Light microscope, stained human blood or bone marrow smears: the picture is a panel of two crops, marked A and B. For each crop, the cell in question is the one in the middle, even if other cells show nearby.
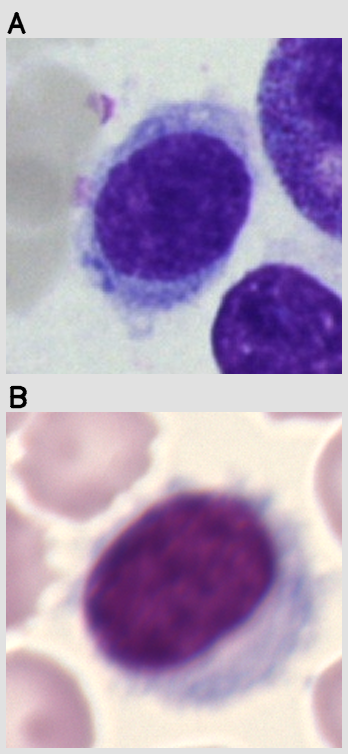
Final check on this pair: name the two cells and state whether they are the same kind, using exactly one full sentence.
Yes, the cells centred in the two crops are both hairy cells.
